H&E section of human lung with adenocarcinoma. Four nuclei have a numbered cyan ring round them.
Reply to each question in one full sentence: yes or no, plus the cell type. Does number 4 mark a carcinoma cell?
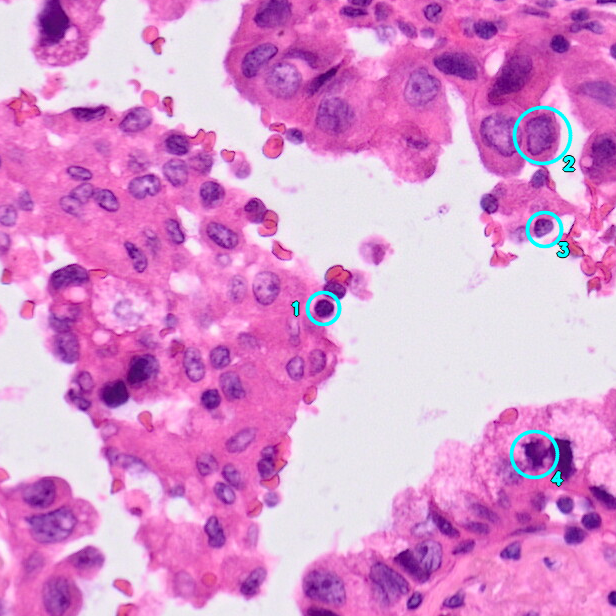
Yes, the cell marked with number 4 is a carcinoma cell.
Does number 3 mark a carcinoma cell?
No, the cell carrying number 3 is a lymphocyte rather than a carcinoma cell.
